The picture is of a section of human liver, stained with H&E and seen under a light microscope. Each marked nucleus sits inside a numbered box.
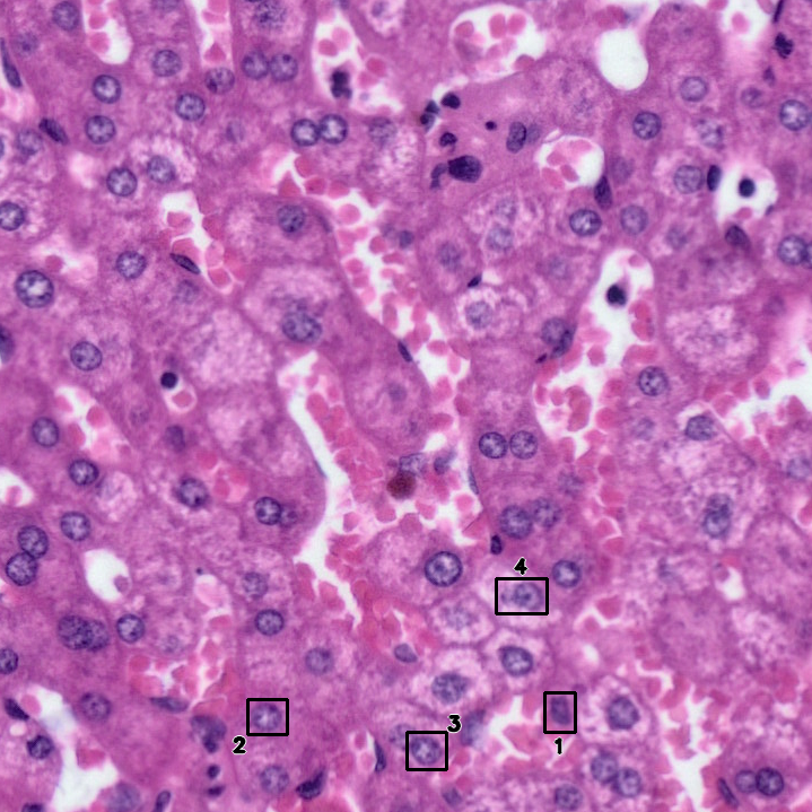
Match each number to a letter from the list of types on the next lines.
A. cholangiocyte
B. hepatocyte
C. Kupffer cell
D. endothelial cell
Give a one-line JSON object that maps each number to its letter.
{"1": "C", "2": "B", "3": "B", "4": "B"}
